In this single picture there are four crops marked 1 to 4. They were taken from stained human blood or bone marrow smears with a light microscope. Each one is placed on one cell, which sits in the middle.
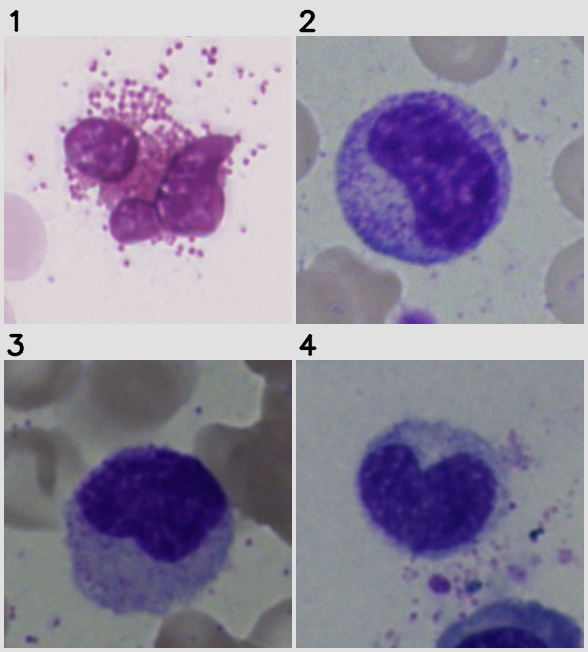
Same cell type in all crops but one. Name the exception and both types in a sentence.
The different crop is crop 1, an eosinophil; all the others show metamyelocytes.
